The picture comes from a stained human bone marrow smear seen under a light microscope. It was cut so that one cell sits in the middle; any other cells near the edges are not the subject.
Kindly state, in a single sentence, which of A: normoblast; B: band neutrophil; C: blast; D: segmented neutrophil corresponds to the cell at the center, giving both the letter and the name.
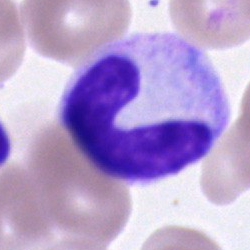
Identified correctly by option B, the cell in the middle is a band neutrophil.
